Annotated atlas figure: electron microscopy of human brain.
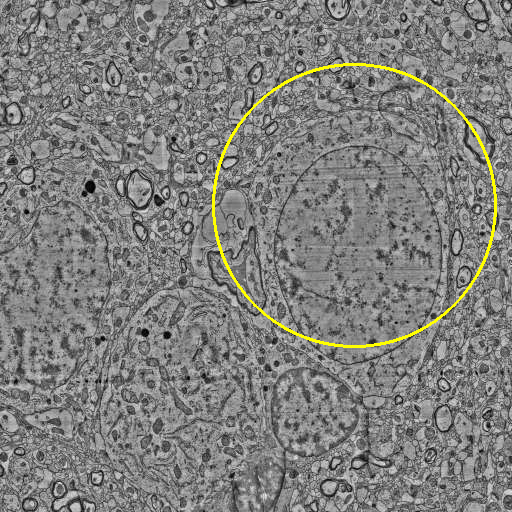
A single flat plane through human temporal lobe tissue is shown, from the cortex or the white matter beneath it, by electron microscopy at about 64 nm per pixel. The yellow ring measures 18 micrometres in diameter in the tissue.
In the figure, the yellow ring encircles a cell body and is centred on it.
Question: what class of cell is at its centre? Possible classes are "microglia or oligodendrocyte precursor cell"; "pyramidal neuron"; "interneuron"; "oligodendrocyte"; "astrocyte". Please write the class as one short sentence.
The yellow ring is drawn around a pyramidal neuron.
